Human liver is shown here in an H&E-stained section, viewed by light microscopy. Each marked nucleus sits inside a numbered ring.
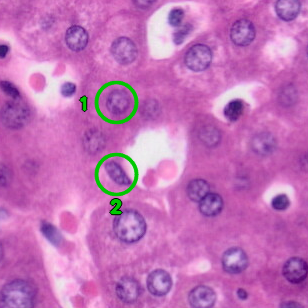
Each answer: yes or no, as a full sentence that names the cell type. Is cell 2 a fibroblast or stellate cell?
Yes, looking at number 2, that cell is a fibroblast or stellate cell.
